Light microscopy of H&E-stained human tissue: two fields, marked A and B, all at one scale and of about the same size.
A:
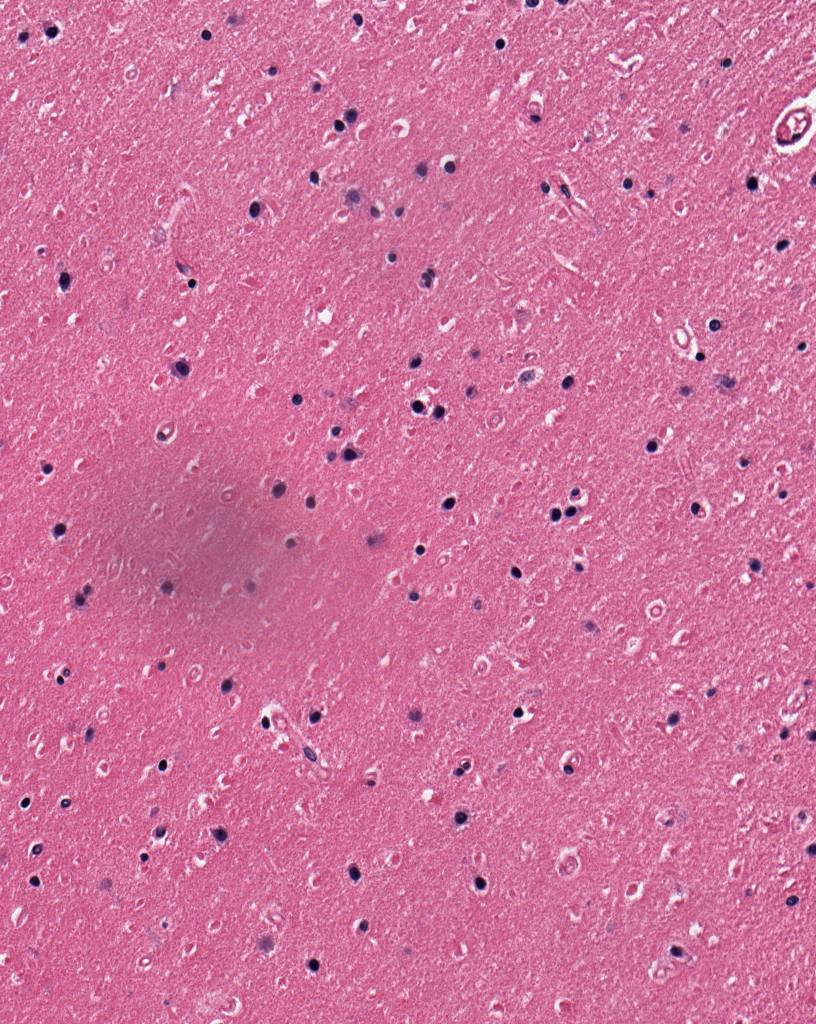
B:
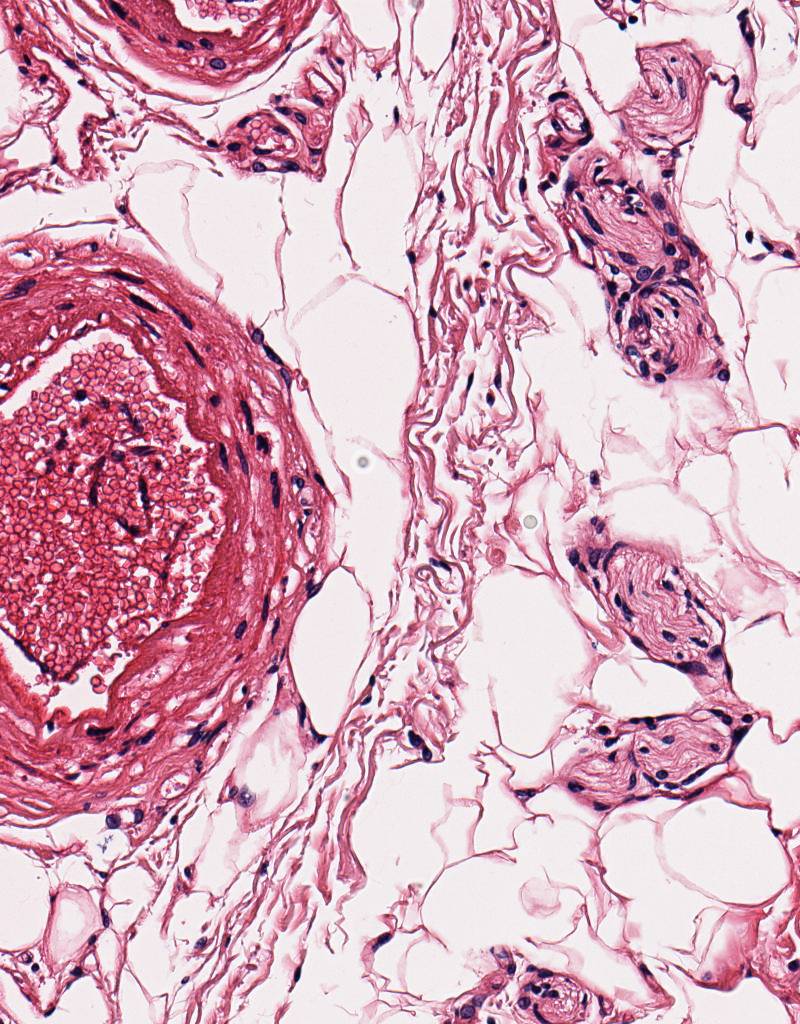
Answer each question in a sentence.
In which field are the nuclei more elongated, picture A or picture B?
On the whole the nuclei of picture B are more drawn out than those of picture A.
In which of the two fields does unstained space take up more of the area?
Picture B has more white space.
